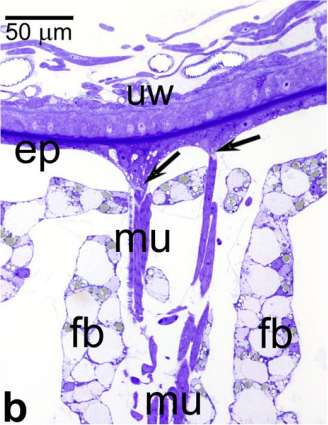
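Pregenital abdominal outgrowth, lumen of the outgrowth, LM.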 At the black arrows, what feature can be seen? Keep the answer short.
Muscle attachments.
